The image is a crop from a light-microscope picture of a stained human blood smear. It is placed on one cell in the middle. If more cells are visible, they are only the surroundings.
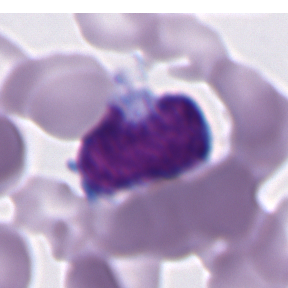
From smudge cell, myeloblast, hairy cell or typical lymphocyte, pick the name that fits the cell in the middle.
typical lymphocyte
